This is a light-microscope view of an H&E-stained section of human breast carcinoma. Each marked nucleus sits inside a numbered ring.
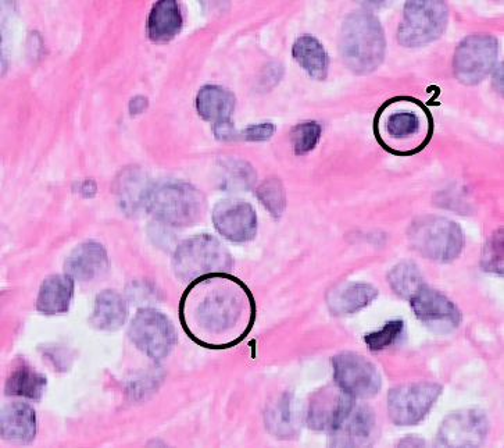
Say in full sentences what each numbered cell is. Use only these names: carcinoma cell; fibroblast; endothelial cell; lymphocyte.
Cell 1 is a carcinoma cell. Cell 2 is a lymphocyte.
